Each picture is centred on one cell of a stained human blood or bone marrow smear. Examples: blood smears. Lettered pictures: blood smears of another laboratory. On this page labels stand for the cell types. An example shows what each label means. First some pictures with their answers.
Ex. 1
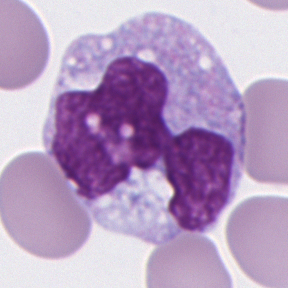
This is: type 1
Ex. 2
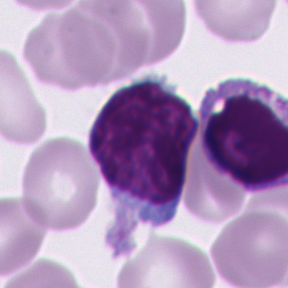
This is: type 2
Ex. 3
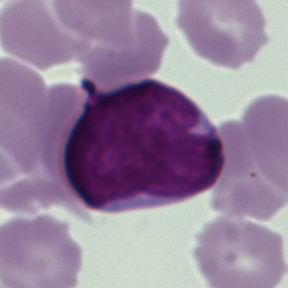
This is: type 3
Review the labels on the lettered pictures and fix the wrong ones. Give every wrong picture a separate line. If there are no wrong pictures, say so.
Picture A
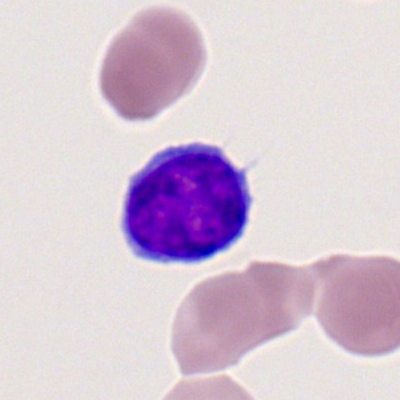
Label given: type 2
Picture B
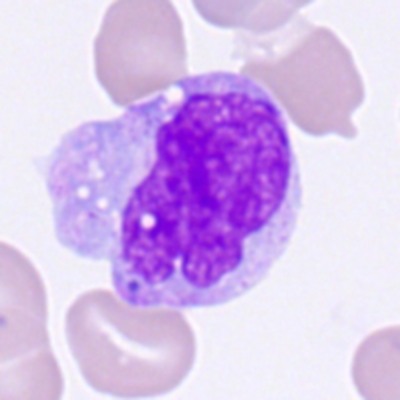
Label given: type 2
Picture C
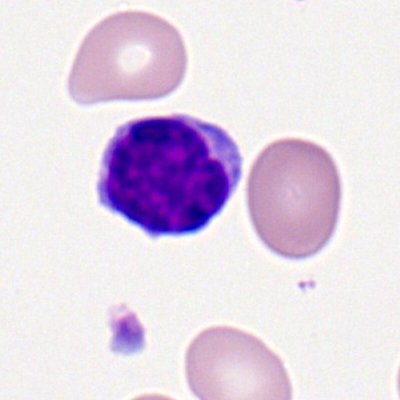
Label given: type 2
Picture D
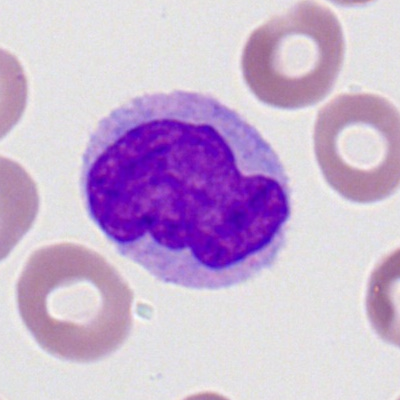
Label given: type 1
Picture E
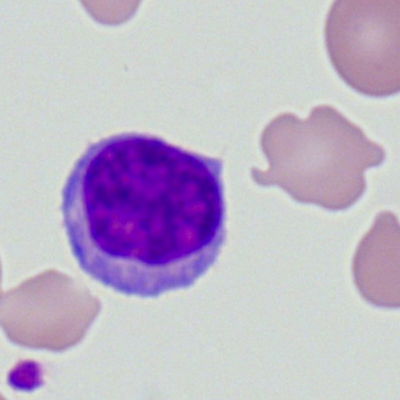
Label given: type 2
B: type 1, not type 2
